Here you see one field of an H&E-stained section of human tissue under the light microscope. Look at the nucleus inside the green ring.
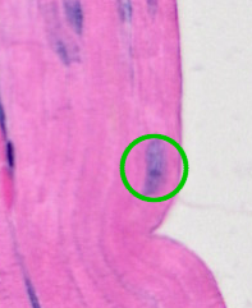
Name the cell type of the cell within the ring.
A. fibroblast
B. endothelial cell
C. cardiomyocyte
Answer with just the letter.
C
